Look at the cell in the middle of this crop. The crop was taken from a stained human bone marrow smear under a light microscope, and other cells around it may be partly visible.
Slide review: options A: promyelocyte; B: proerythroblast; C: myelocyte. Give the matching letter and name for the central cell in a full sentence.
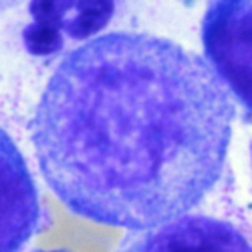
Option A holds up: the cell in the middle is a promyelocyte.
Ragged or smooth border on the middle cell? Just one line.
Worth noting that the cell border is smooth and lacks projections.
